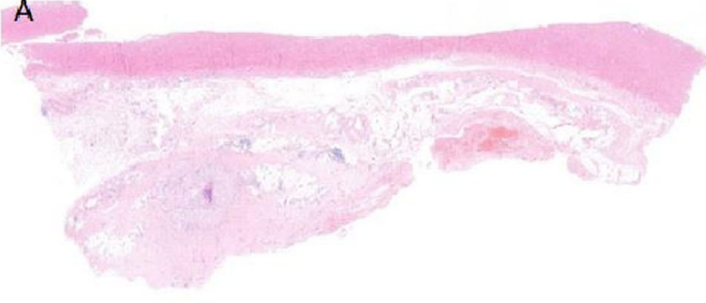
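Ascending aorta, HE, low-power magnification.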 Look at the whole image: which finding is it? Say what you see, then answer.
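Adventitial thickening. A dense pink band of vessel wall runs along the top. Beneath it lies a broad, loose, pale layer of tissue containing vessels, wider than the dense band.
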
